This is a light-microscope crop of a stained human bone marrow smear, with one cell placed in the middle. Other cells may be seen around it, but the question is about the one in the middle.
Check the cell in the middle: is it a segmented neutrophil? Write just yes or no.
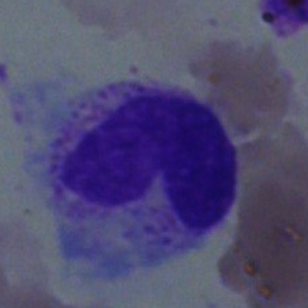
no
